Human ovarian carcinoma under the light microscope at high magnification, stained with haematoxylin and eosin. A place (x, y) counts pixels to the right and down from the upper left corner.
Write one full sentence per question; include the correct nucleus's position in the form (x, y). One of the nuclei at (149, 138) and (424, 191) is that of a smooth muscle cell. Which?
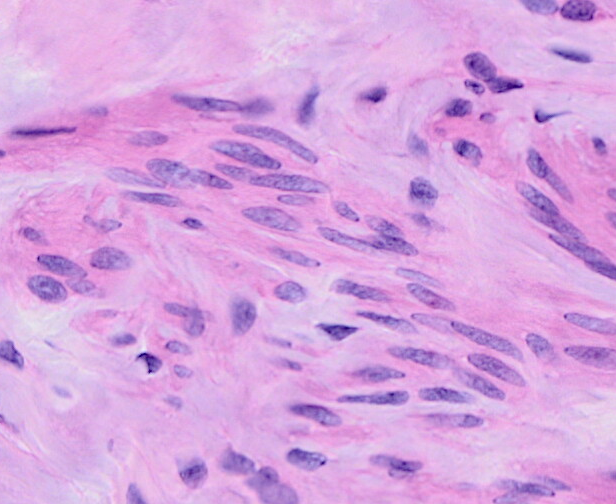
The one belonging to a smooth muscle cell is the nucleus at (149, 138), not the other.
